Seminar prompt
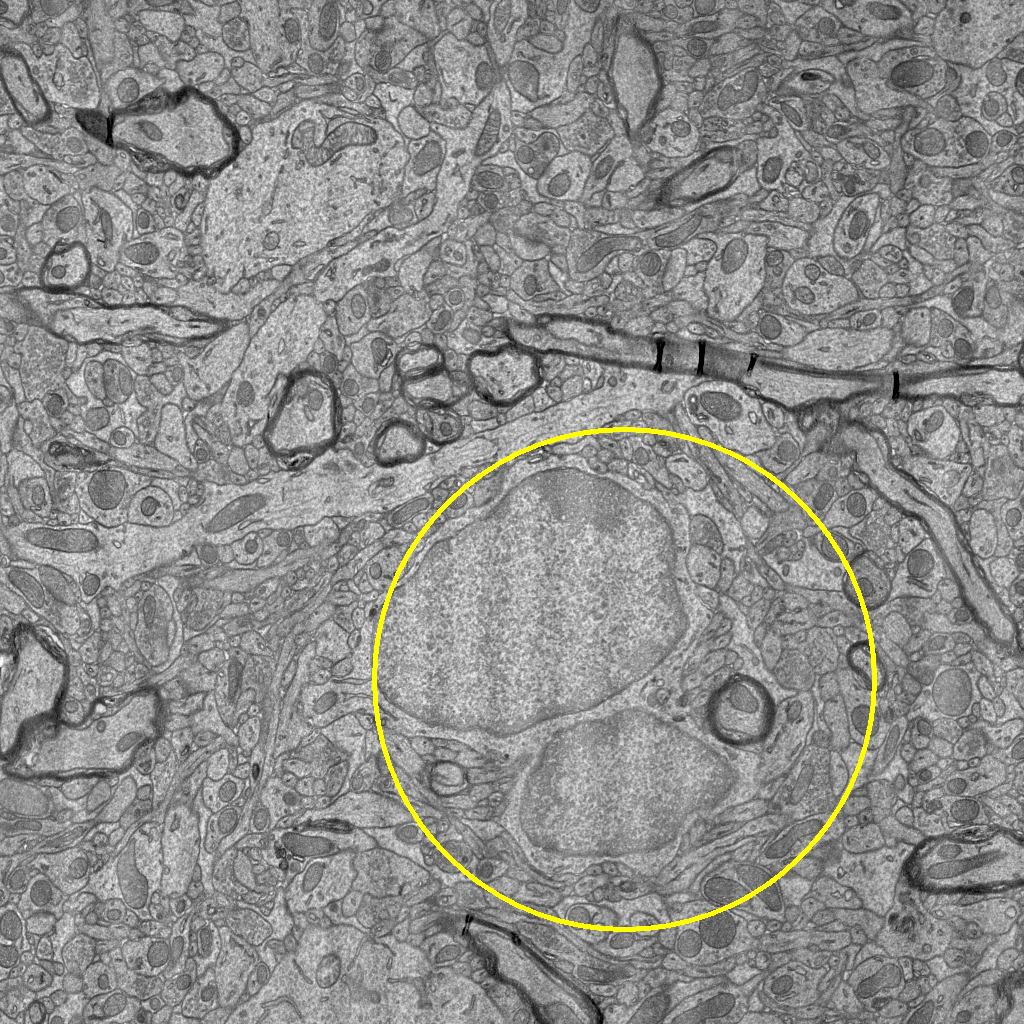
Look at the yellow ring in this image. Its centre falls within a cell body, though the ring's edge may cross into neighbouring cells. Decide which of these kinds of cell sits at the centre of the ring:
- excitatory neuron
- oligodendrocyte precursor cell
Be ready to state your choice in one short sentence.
The kind of cell at the ring's centre is an oligodendrocyte precursor cell.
